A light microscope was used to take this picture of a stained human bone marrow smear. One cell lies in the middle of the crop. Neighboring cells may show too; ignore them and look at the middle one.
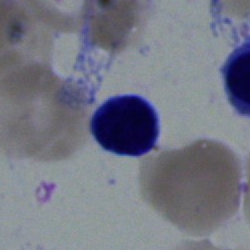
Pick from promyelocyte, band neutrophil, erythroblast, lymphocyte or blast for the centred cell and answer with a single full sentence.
In the middle of this smear crop is a lymphocyte.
